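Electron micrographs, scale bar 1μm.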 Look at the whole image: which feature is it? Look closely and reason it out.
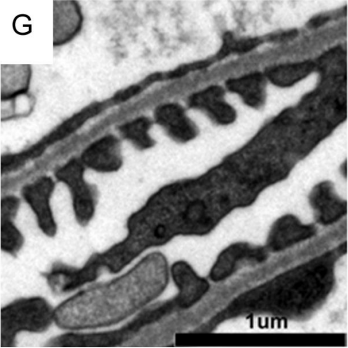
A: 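A grey band of basement membrane runs diagonally across the field. A regular row of small, separate dark processes sits on one side of the band with narrow gaps between them.
Answer: foot process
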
